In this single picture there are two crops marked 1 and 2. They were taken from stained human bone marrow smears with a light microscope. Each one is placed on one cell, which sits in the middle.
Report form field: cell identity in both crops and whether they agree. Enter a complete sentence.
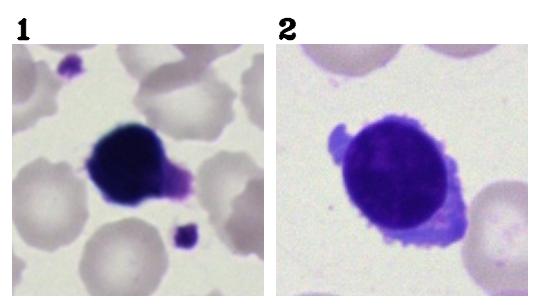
Yes, both crops are centred on cells that are lymphocytes.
